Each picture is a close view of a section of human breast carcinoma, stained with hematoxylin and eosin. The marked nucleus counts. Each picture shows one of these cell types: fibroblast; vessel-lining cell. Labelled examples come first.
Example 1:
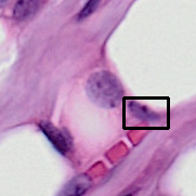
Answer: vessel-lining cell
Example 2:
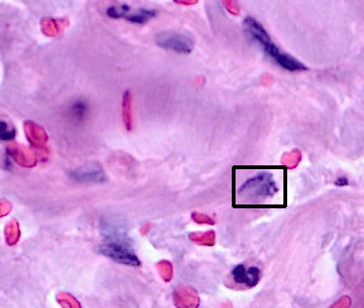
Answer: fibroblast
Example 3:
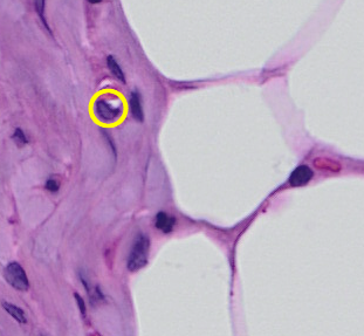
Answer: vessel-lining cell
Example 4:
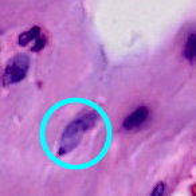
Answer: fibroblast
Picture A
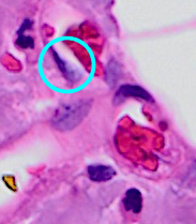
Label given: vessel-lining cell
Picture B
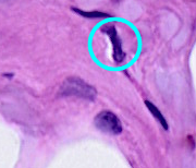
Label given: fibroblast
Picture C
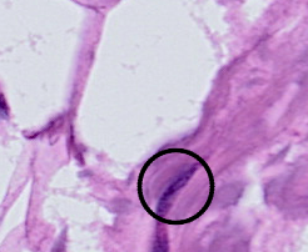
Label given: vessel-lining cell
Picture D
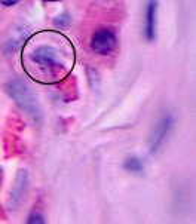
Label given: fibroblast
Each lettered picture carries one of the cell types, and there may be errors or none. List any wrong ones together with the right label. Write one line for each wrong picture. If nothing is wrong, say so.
C: fibroblast, not vessel-lining cell
D: vessel-lining cell, not fibroblast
